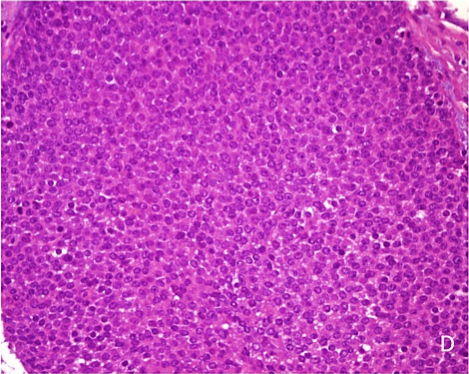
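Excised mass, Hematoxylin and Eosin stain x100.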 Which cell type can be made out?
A: Basophilic cells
